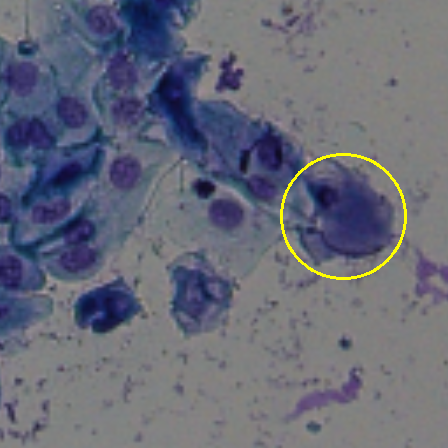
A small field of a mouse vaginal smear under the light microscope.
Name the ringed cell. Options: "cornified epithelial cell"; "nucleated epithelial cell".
cornified epithelial cell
